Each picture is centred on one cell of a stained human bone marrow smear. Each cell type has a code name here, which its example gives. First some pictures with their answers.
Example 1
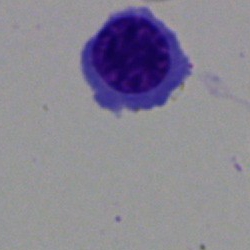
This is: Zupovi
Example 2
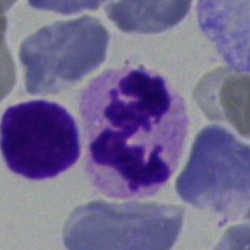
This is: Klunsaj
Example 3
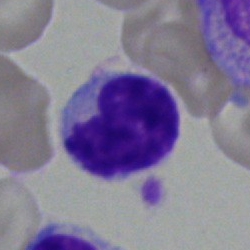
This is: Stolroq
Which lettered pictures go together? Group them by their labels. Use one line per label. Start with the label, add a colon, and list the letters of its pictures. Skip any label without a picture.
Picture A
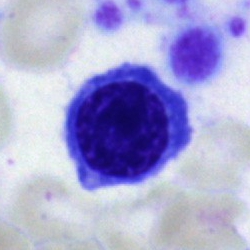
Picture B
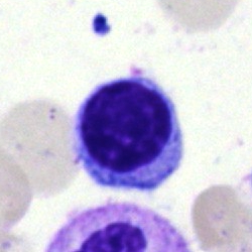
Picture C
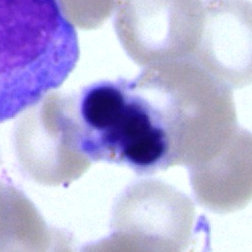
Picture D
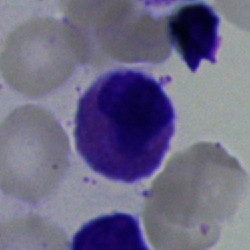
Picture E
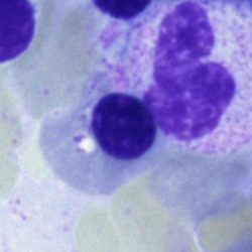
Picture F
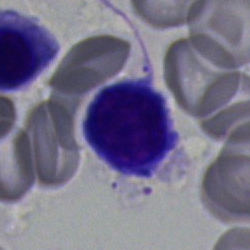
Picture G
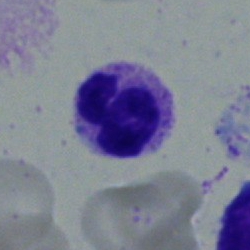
Zupovi: A, C, E
Klunsaj: G
Stolroq: B, D, F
